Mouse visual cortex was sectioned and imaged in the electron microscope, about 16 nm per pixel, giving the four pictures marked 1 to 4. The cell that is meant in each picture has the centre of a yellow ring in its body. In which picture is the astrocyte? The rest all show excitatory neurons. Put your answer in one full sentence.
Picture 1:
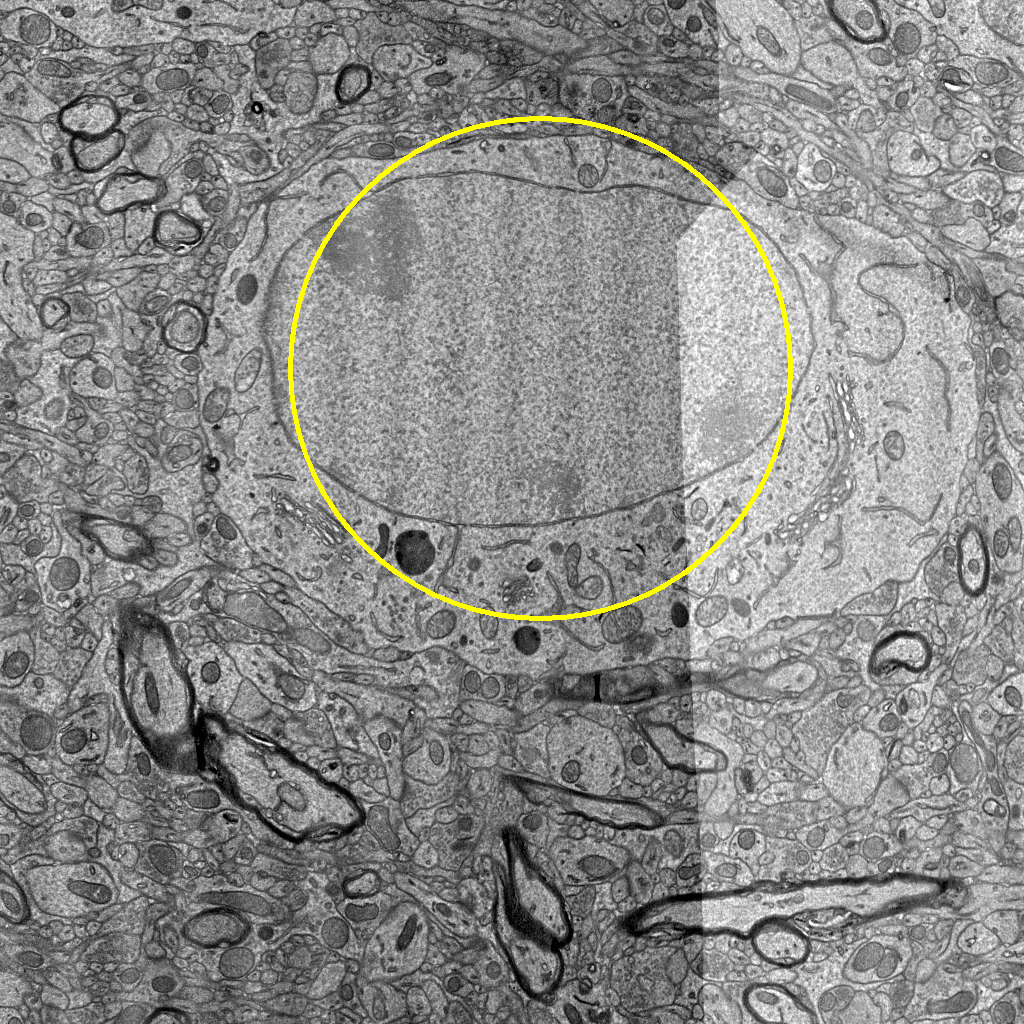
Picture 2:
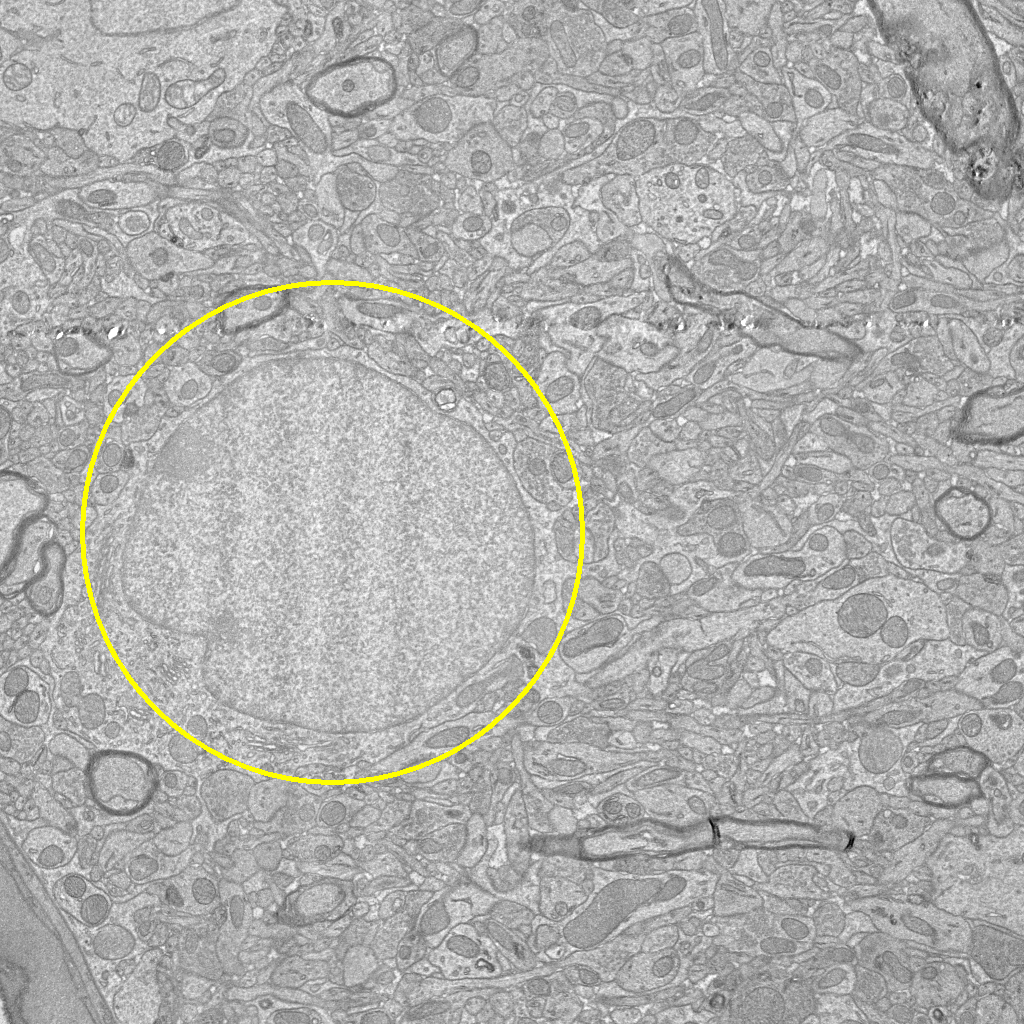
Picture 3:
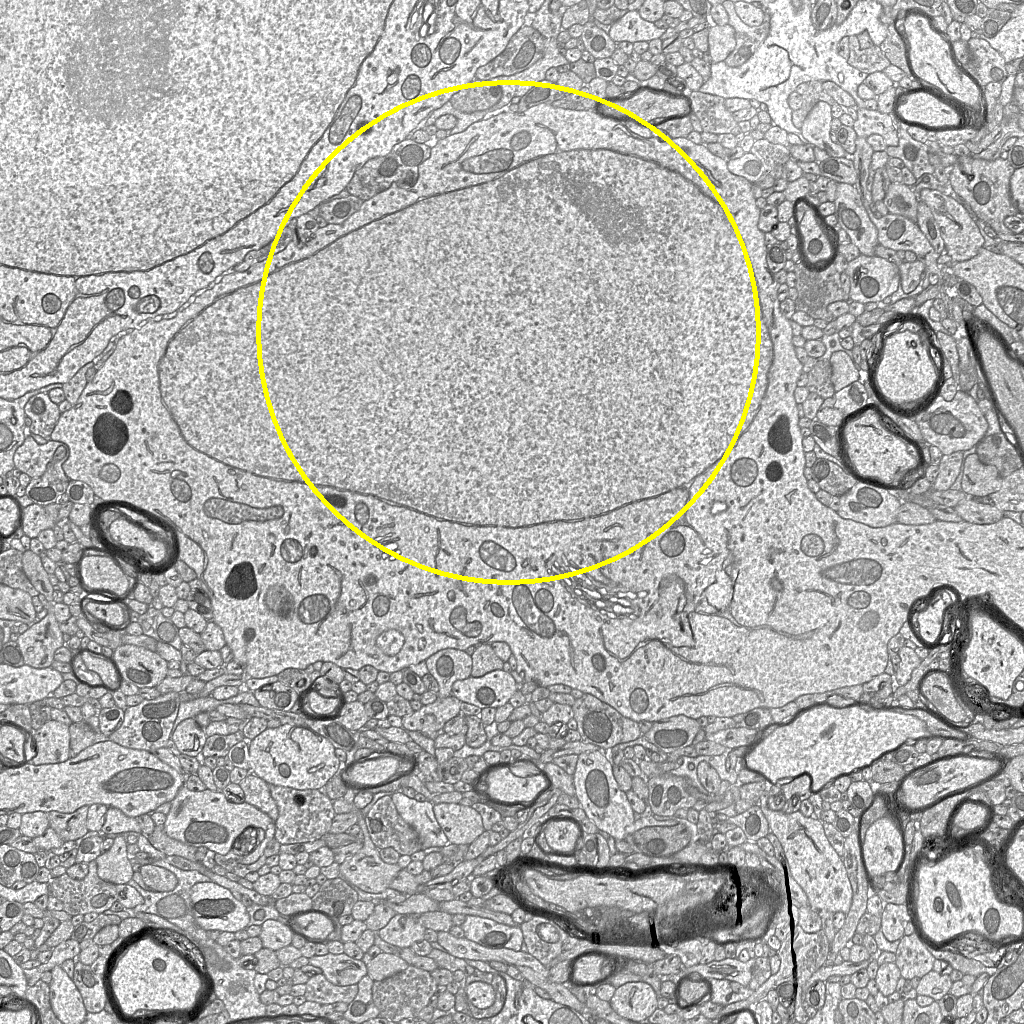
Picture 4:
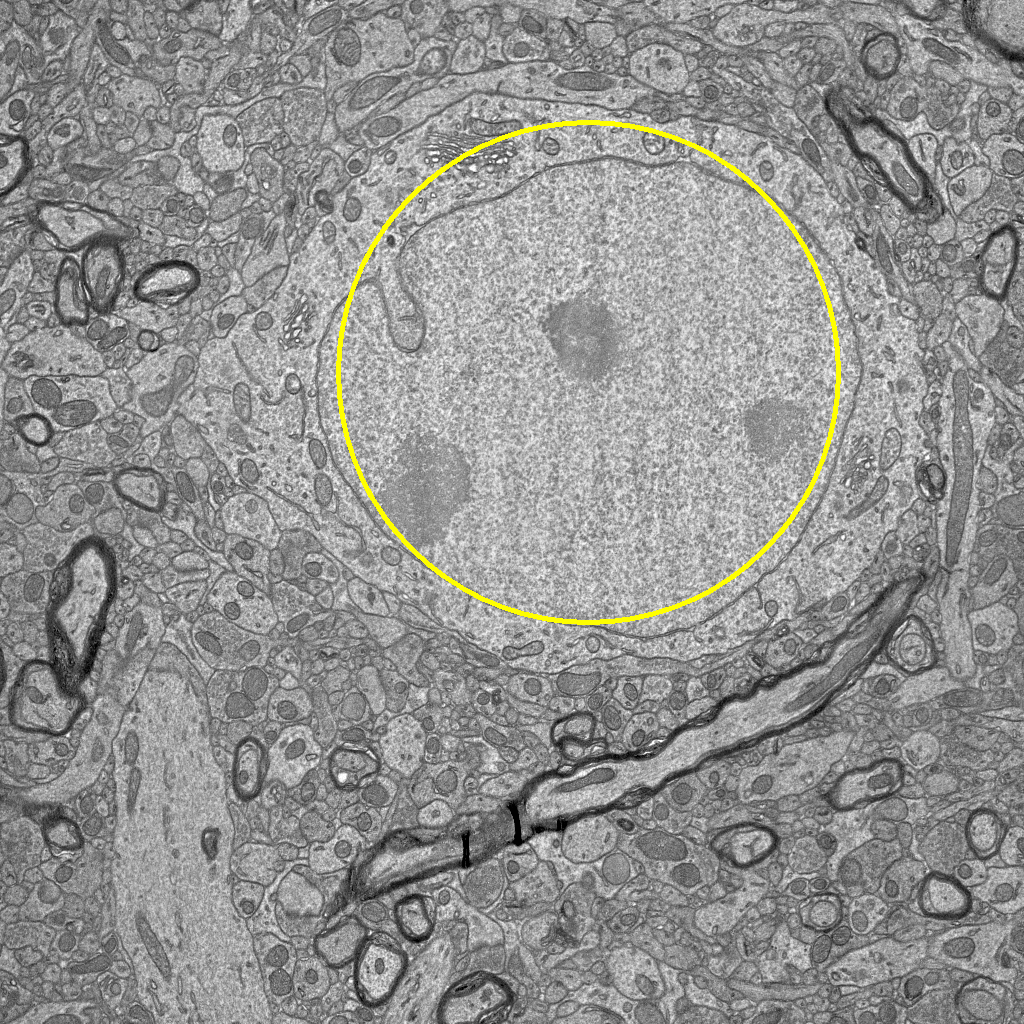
It is picture 2 that shows the astrocyte.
